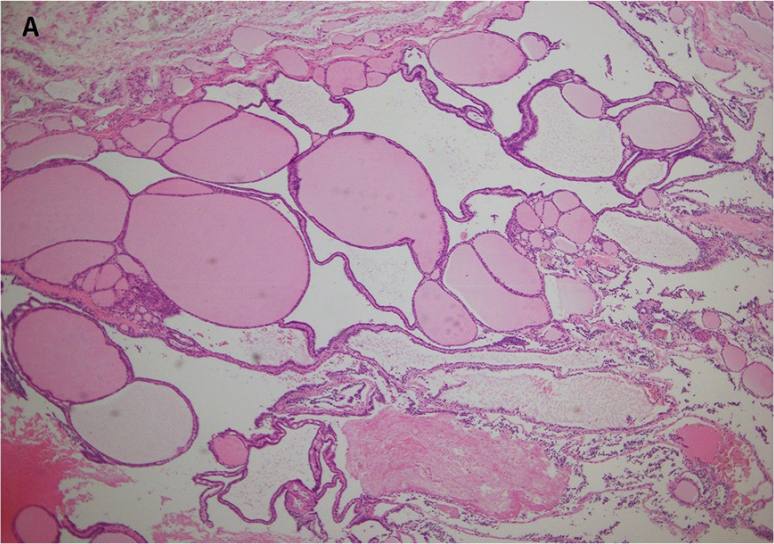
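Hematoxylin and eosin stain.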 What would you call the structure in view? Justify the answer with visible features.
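Variably sized follicles. Follicles range from small to very large across the field. Large pink-filled follicles lie beside clusters of much smaller ones.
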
